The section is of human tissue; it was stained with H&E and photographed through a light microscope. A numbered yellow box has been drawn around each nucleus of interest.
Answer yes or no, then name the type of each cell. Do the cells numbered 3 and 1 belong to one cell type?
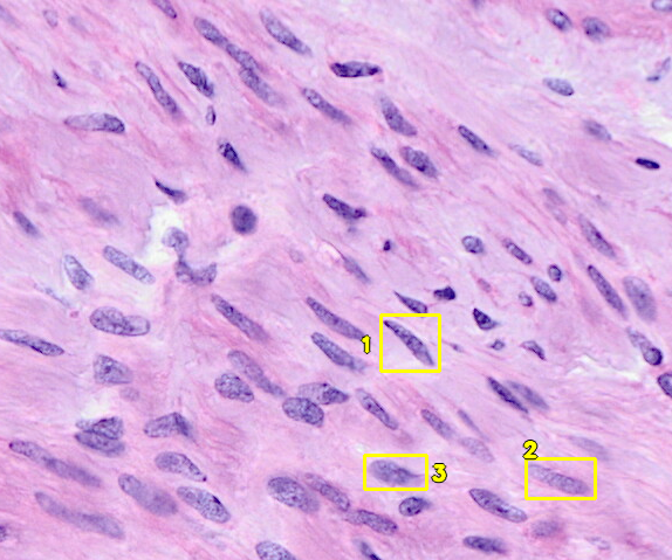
Yes, both are fibroblasts.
